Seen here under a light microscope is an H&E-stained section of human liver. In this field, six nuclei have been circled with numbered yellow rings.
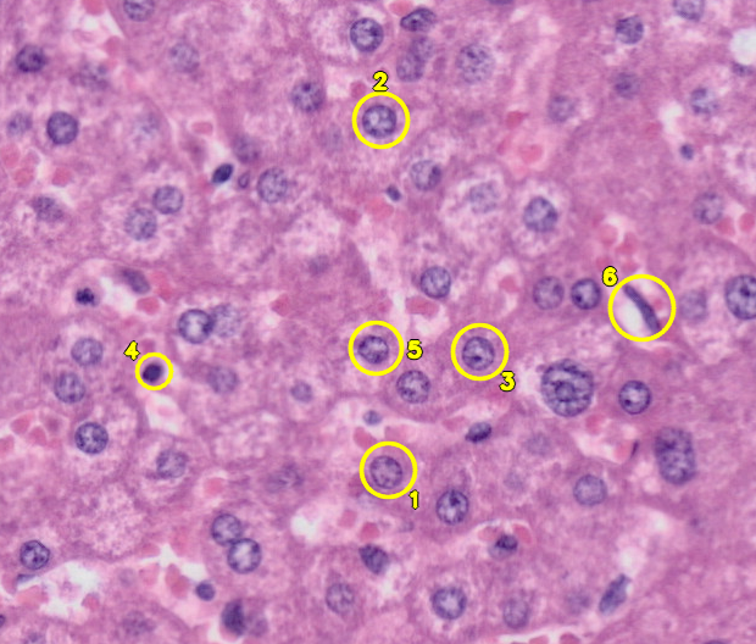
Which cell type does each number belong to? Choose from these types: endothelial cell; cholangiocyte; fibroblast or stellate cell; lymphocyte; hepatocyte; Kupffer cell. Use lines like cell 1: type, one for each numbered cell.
cell 1: hepatocyte
cell 2: hepatocyte
cell 3: hepatocyte
cell 4: lymphocyte
cell 5: hepatocyte
cell 6: Kupffer cell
